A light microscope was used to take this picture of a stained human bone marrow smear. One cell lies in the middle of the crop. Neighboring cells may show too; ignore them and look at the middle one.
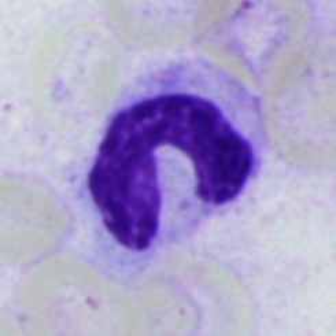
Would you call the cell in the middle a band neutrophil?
yes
